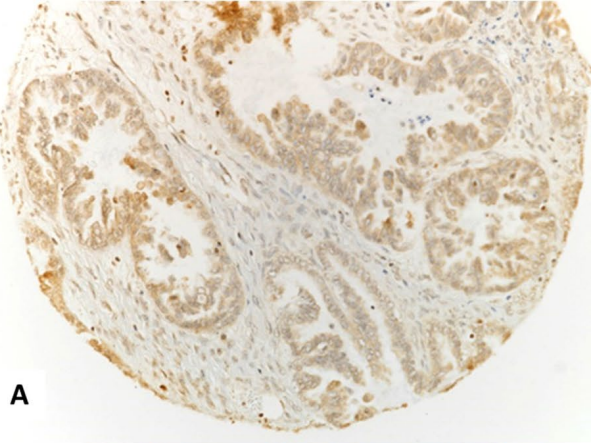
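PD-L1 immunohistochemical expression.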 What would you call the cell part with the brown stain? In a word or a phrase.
Cytoplasmic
